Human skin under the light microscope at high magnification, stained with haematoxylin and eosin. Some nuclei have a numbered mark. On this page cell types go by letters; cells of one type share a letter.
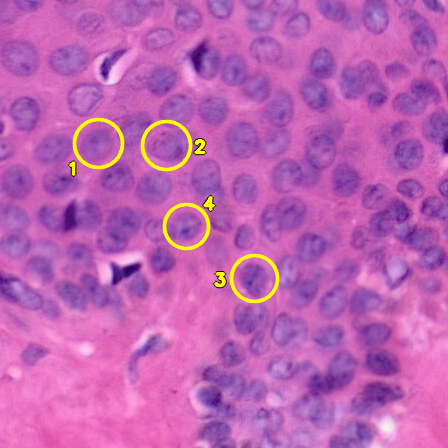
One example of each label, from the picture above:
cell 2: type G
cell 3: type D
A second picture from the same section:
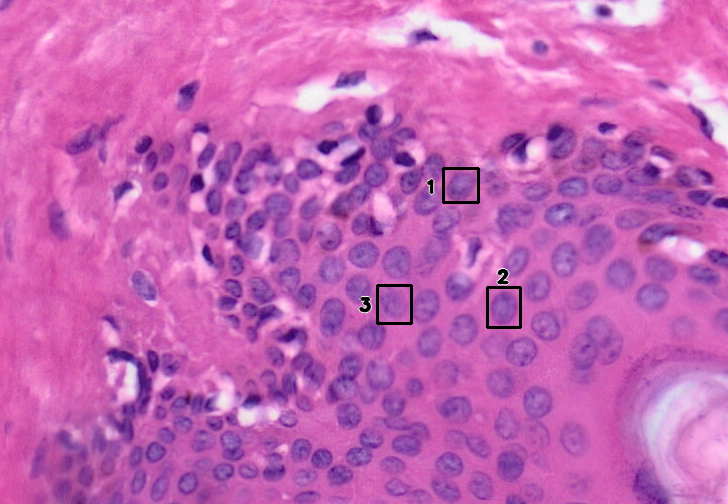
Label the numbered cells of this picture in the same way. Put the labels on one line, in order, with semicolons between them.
type D; type G; type G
